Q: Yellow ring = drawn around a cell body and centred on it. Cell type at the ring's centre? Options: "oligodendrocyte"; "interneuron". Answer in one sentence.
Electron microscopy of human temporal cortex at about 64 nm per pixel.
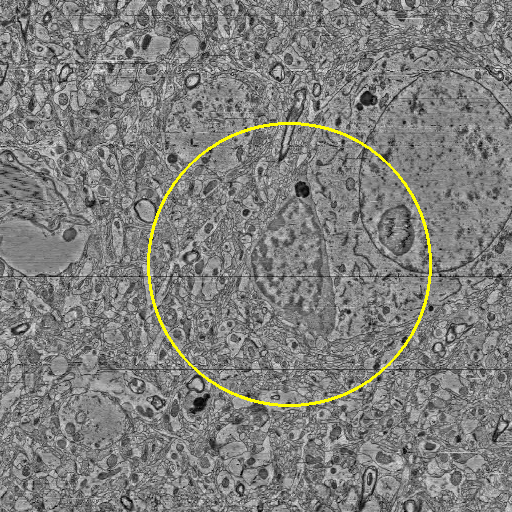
Centred in the ring is an oligodendrocyte.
